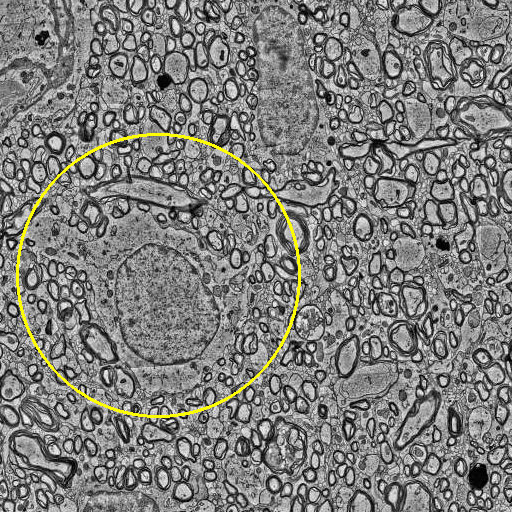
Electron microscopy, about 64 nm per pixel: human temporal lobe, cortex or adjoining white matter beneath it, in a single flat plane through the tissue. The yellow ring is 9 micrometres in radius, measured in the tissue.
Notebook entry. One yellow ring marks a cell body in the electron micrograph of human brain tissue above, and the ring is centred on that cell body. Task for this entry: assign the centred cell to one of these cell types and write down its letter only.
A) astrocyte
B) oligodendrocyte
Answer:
A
